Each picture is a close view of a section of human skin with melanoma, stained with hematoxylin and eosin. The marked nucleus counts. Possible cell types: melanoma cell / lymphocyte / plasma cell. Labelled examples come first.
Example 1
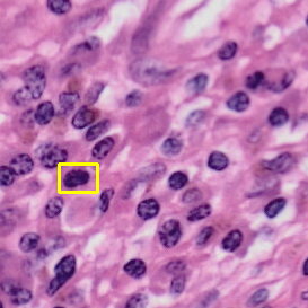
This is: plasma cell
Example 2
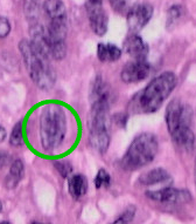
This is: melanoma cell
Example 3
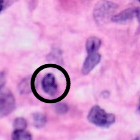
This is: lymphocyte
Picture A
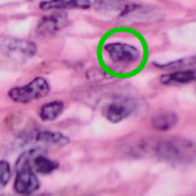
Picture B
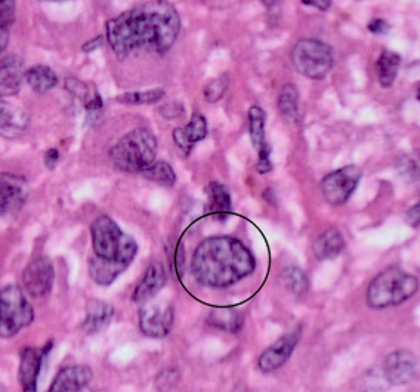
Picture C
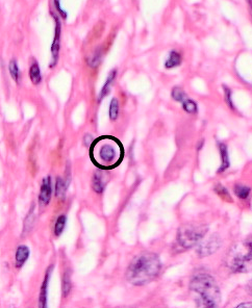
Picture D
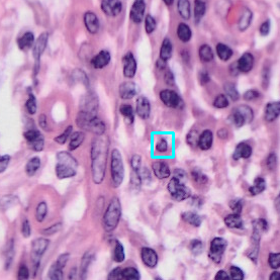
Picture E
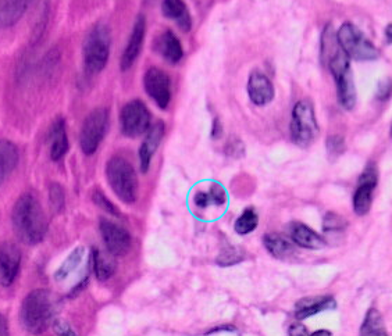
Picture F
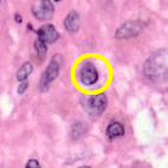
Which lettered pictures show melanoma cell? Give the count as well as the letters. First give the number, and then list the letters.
1, namely B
